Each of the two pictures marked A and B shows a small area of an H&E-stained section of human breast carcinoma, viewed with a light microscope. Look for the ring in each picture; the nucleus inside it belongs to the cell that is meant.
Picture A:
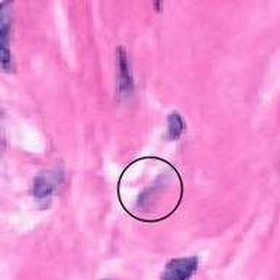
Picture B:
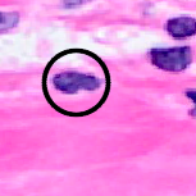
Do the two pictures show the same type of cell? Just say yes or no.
no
